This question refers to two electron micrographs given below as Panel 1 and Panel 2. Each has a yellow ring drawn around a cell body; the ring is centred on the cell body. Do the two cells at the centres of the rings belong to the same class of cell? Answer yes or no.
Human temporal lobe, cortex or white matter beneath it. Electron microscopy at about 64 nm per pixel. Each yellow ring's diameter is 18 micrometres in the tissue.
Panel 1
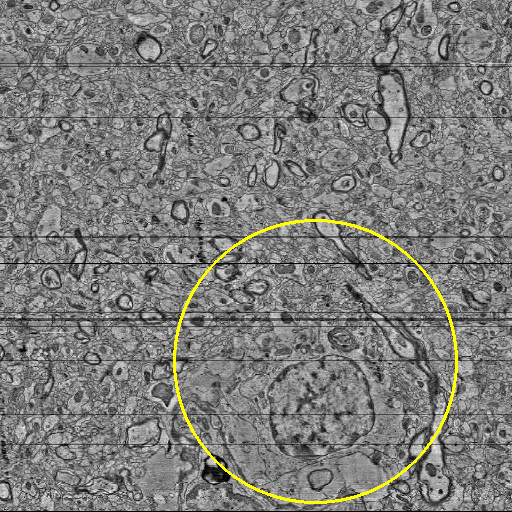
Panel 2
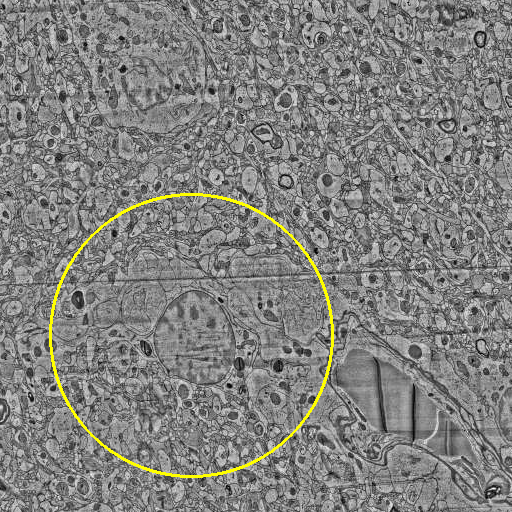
yes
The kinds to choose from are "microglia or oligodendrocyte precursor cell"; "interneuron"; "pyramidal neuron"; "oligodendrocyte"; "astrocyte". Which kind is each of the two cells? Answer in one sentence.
In both pictures the ring is centred on a microglial cell or oligodendrocyte precursor cell.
